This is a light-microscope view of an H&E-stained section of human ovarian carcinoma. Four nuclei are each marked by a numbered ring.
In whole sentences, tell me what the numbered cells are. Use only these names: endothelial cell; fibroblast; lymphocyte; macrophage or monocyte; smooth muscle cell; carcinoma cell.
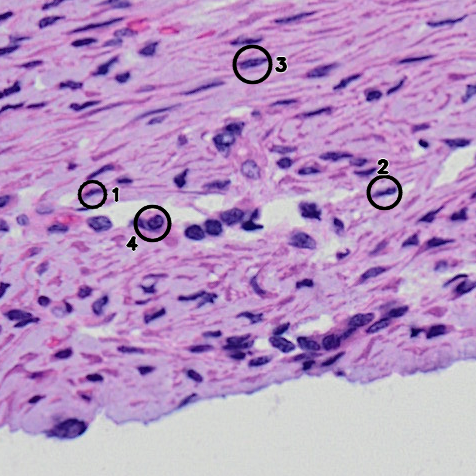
Cells 1, 2 and 3 are fibroblasts. Cell 4 is a lymphocyte.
